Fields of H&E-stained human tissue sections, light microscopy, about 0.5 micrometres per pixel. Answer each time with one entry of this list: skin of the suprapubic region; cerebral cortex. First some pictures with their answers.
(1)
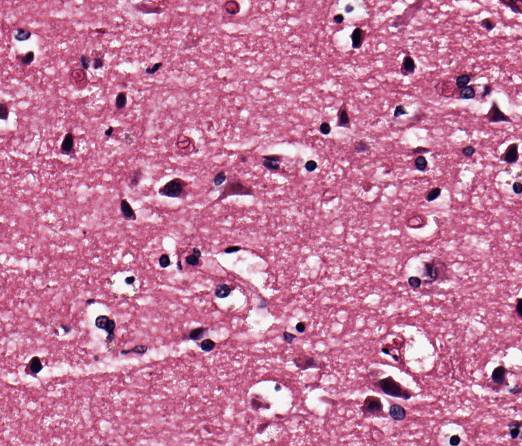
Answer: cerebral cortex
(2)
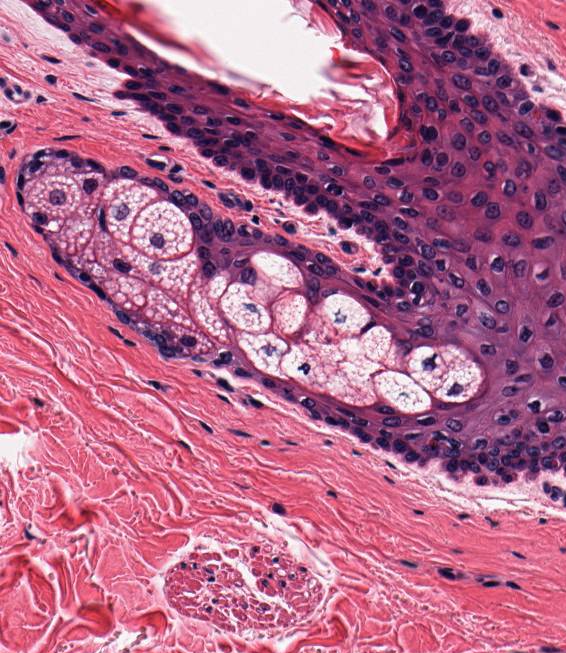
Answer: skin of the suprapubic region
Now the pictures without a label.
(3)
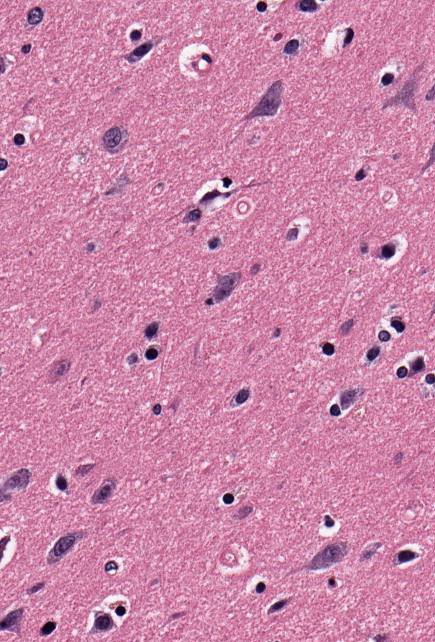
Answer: cerebral cortex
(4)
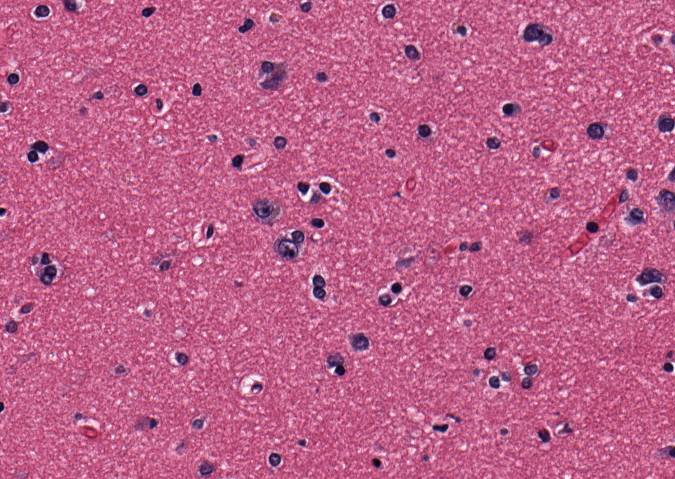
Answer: cerebral cortex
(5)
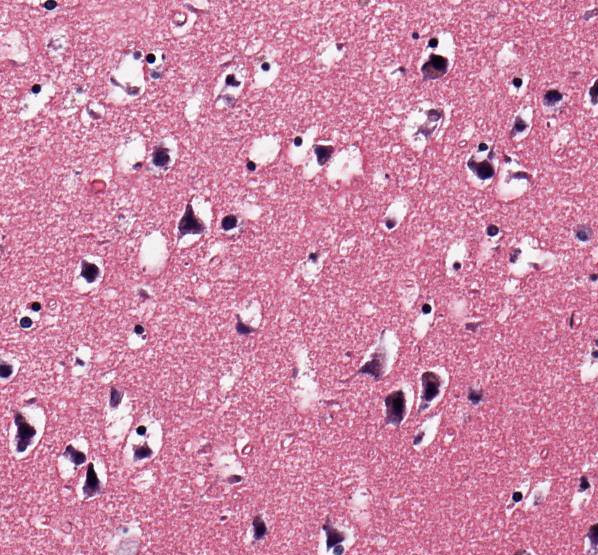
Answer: cerebral cortex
